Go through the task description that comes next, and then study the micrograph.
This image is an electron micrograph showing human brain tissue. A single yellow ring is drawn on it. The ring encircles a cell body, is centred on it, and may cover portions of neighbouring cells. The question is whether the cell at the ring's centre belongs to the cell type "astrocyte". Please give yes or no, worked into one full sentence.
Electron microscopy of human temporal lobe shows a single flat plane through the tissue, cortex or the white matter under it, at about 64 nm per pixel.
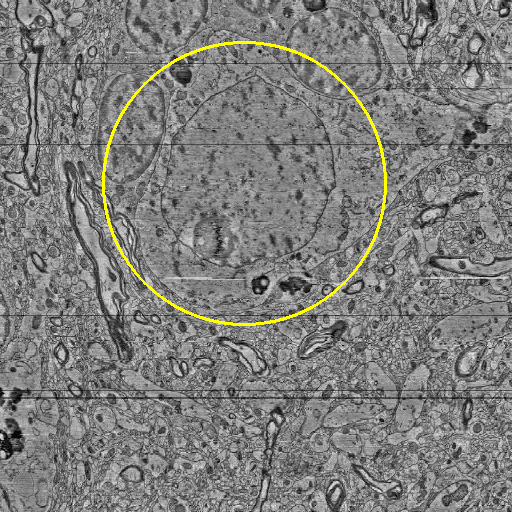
No, the cell that the ring is centred on in the micrograph is of another kind.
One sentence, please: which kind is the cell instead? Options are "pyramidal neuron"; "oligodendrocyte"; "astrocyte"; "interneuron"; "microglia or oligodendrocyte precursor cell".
Instead, the cell inside the ring is a pyramidal neuron.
